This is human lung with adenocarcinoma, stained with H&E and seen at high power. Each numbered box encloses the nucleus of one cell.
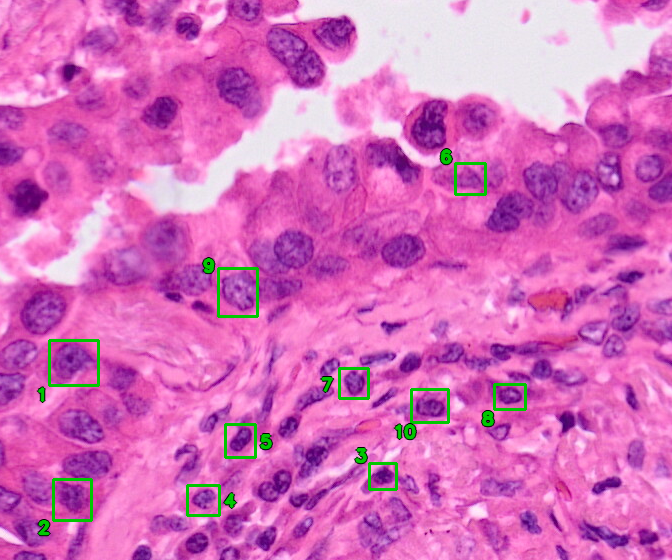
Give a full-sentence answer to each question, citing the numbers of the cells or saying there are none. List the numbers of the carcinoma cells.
As for the cells numbered 1, 2, 6 and 9, they are carcinoma cells.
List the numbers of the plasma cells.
In this section, the cells labelled 3, 5, 7, 8 and 10 are plasma cells.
